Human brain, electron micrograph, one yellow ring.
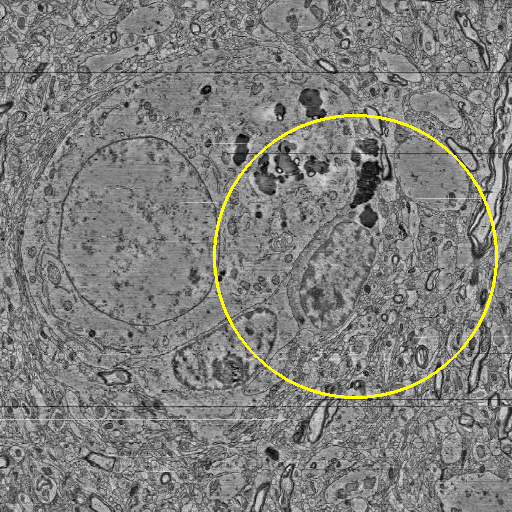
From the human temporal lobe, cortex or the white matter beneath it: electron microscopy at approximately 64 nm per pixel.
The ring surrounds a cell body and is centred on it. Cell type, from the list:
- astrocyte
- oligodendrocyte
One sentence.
The yellow ring circles an oligodendrocyte.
